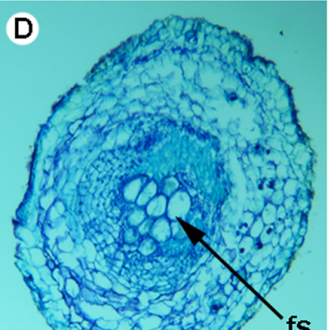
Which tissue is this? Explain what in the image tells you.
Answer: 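Roots. Roughly round cross-section with a central cylinder. Cortex of loosely arranged parenchyma cells around it.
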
